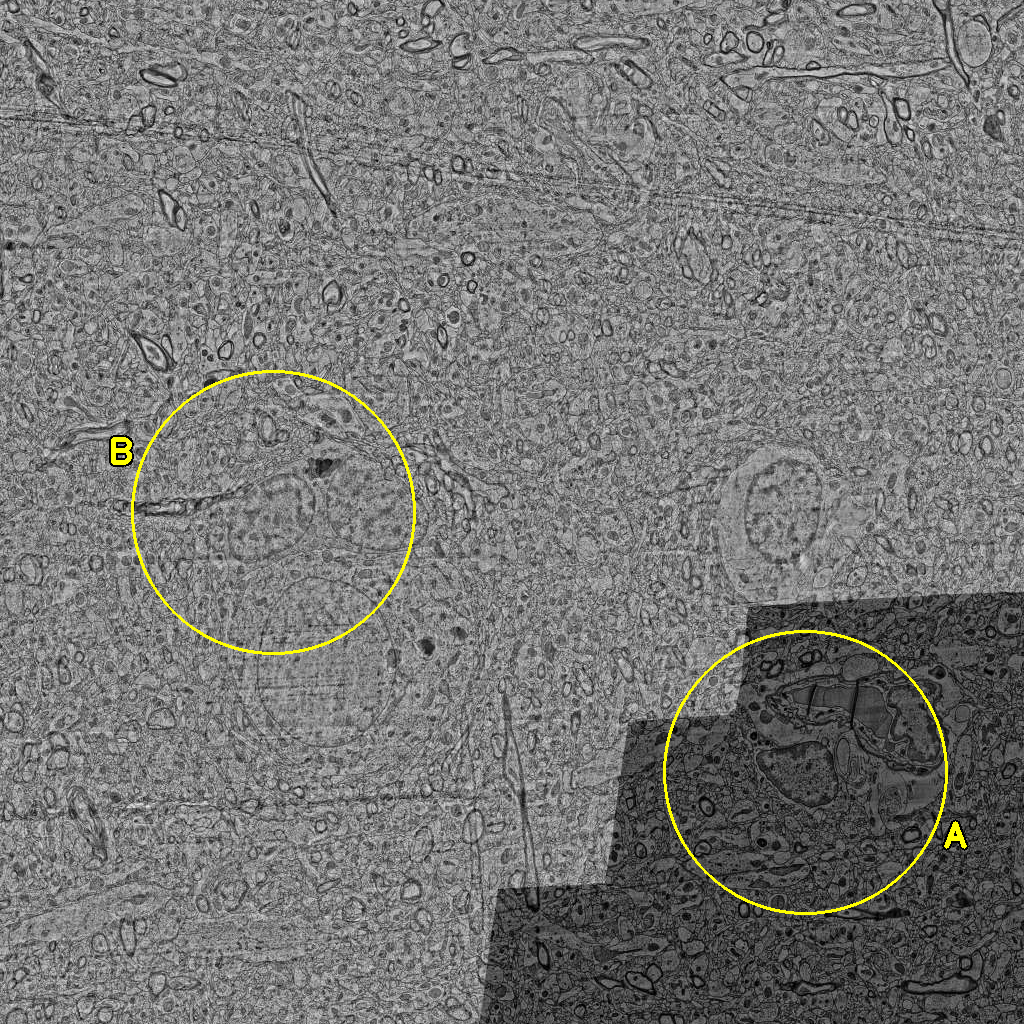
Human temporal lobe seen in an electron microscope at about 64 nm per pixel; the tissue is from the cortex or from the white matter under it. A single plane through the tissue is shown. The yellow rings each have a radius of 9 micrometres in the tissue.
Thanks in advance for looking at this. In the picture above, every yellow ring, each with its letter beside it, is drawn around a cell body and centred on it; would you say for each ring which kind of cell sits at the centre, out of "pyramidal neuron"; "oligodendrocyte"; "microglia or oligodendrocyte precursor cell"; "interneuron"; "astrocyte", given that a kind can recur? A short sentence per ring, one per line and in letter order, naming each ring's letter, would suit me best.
The cell body in ring A belongs to a microglial cell or oligodendrocyte precursor cell.
The cell body in ring B belongs to an oligodendrocyte.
